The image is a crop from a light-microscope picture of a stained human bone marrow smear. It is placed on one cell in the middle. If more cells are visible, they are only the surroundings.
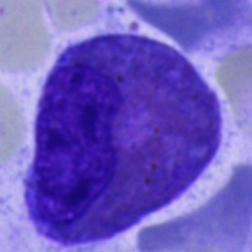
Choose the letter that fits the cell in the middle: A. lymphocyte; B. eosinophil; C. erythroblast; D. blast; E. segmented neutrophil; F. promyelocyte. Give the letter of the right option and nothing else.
B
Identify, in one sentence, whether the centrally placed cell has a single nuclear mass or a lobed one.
The nucleus amounts to one compact mass with a round, oval or kidney-shaped outline.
